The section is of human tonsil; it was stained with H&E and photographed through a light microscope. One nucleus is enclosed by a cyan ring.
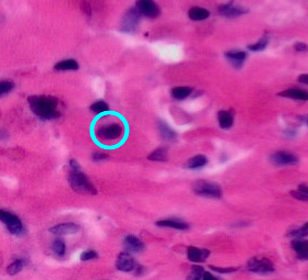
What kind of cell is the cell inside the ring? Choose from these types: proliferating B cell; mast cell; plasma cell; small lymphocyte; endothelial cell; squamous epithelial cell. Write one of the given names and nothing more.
mast cell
